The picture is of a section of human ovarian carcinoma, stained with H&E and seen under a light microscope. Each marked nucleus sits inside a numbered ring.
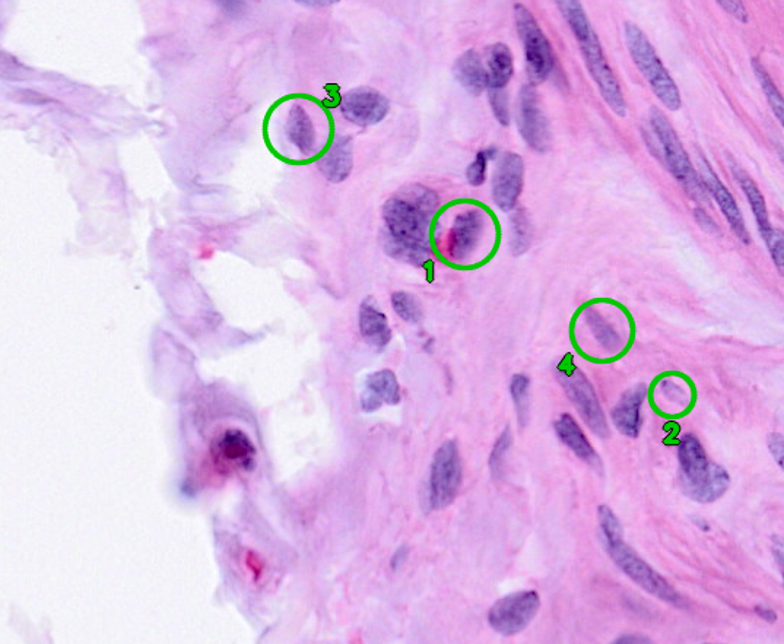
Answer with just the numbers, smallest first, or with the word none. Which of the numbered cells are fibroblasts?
3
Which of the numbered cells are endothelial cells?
1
